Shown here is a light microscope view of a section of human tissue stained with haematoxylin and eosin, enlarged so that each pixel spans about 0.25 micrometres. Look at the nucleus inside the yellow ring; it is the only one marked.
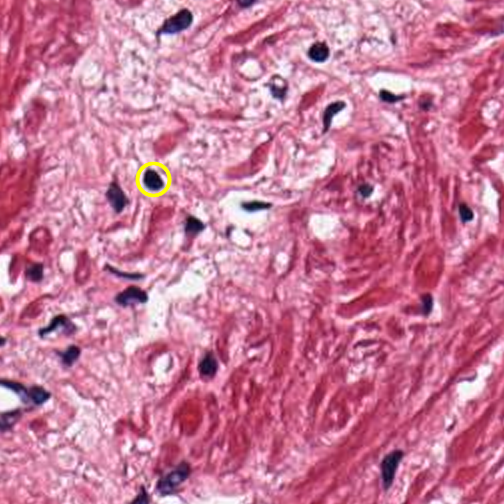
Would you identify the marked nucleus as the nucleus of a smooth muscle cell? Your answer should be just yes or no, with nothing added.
no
